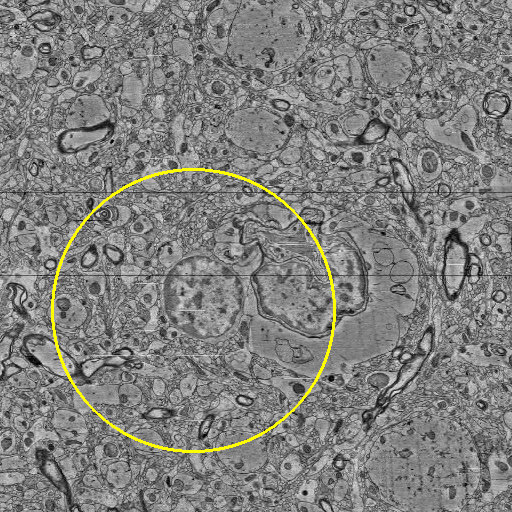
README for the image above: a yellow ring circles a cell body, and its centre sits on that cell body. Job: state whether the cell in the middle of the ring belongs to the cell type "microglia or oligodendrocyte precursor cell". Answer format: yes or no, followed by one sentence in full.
No, in the image, the ring's central cell belongs to another type.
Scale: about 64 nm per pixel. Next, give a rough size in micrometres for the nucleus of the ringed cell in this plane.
About 5 micrometers across, in this plane.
